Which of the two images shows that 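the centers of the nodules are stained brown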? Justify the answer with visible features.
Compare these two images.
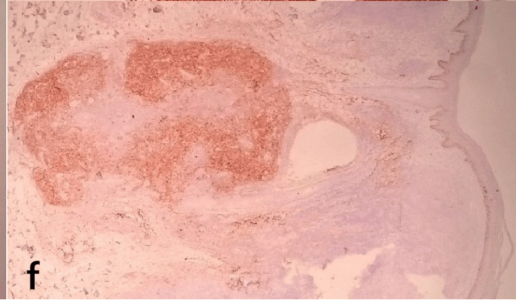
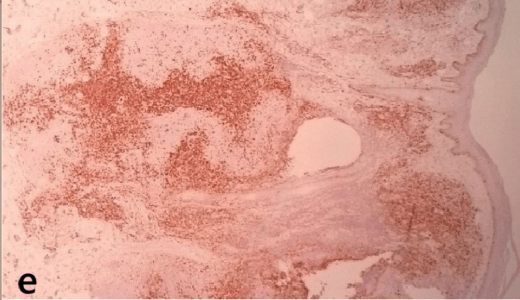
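First image: rounded nodular zones are filled with brown stain. Second image: brown stain lies around paler, largely unstained rounded zones.
Answer: the first image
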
